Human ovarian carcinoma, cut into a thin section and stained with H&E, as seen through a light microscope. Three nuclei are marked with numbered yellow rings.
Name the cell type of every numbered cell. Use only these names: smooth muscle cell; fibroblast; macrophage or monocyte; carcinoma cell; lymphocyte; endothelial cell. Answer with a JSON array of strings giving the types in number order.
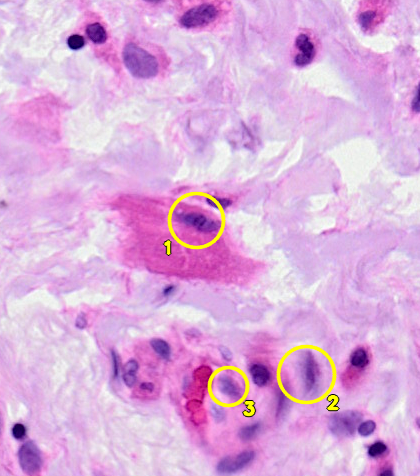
["smooth muscle cell", "fibroblast", "endothelial cell"]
